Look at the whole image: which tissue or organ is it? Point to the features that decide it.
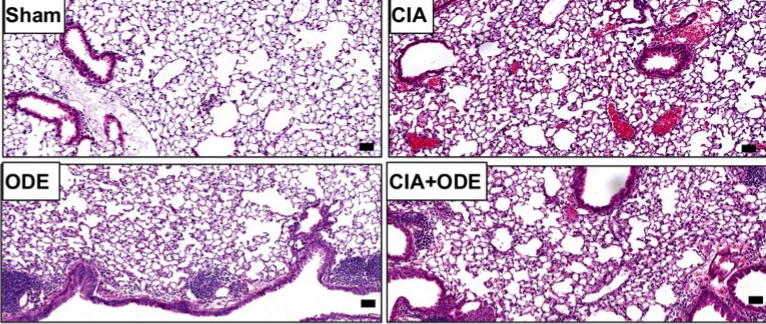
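Spongy tissue of many thin-walled air spaces separated by thin septa. Airways lined by a folded epithelium. Blood vessels lying beside the airways. On this evidence: lung.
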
